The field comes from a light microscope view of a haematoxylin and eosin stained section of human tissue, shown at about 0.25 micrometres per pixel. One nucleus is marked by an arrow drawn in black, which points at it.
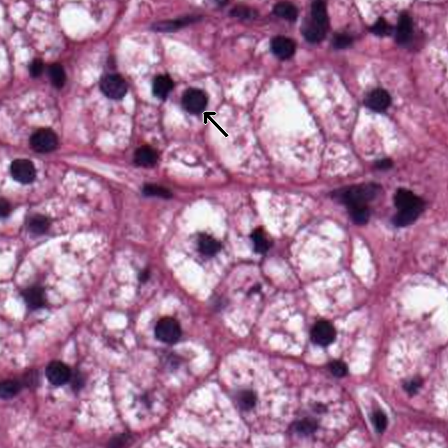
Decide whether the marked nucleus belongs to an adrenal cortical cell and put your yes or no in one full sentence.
Yes, an adrenal cortical cell is the cell that the marked nucleus belongs to.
